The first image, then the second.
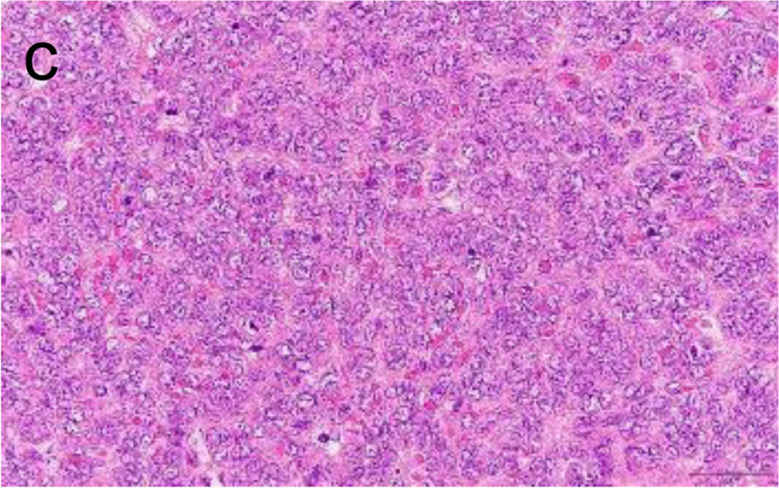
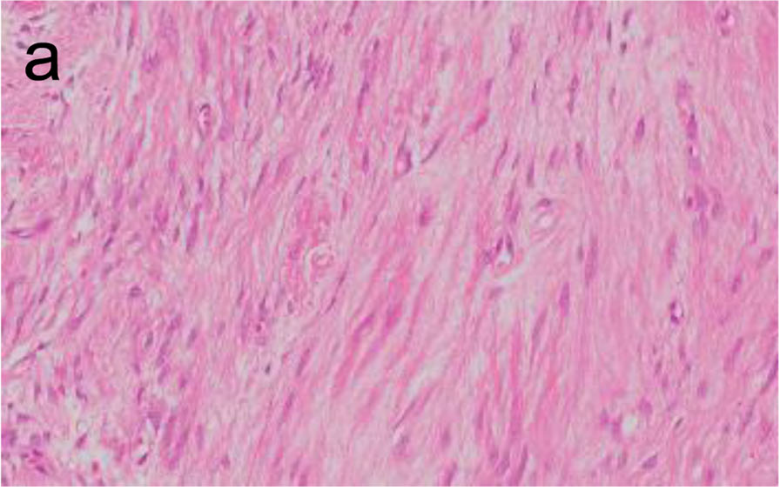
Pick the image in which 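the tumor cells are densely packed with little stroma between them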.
the first image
